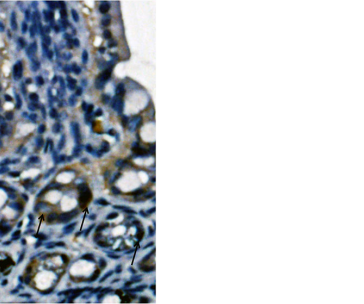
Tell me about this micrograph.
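This is intestinal mucosa with villi above and a row of crypts at their base, set in a cellular connective tissue. The villi are covered by columnar epithelium with blue nuclei and scattered clear, rounded vacuoles, and the crypts appear as round epithelial rings around small lumens. Many crypt cells carry brown granular staining, and the tissue between the crypts is crowded with small blue nuclei.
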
